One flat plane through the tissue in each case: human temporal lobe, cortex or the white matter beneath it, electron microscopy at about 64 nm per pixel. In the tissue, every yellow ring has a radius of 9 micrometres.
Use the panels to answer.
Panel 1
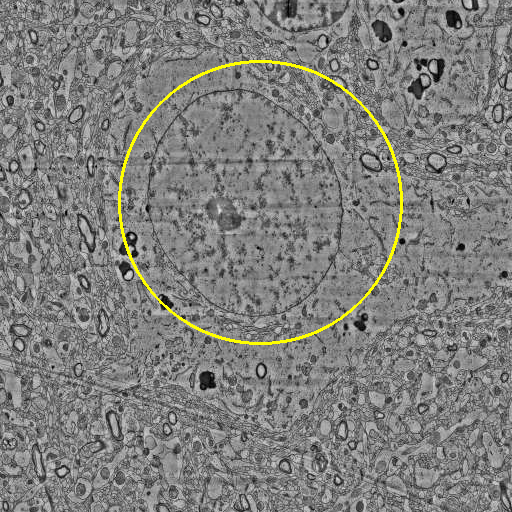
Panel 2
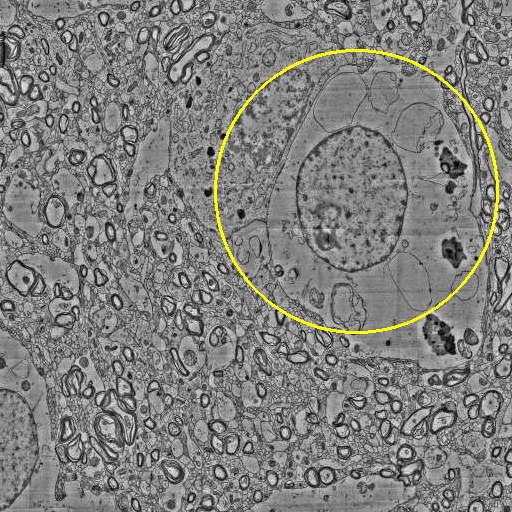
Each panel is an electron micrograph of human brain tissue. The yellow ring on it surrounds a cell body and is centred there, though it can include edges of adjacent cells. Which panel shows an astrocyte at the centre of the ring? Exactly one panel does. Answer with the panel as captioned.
Panel 2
